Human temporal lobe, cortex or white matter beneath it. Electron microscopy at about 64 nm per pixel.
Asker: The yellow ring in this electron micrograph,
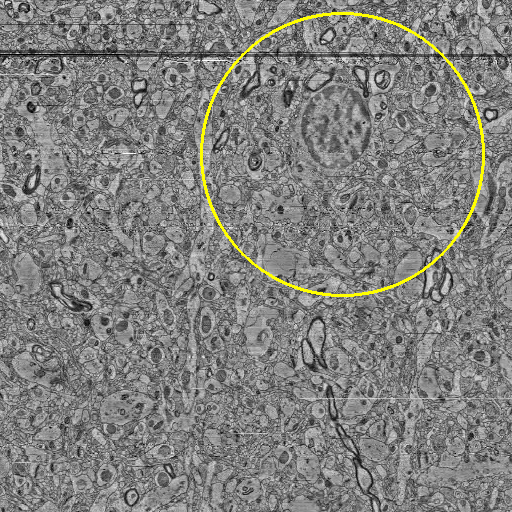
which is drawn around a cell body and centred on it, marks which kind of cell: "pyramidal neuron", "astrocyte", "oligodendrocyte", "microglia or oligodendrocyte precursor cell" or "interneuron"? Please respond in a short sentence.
The marked cell is an oligodendrocyte.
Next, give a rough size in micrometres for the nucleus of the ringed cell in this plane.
In this plane, the nucleus is roughly 6 by 4 micrometres.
